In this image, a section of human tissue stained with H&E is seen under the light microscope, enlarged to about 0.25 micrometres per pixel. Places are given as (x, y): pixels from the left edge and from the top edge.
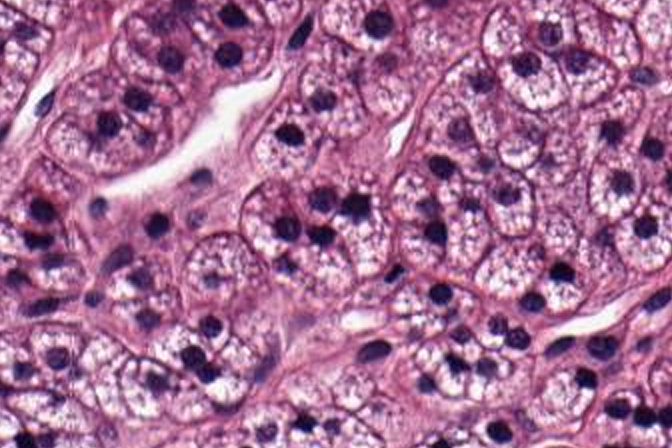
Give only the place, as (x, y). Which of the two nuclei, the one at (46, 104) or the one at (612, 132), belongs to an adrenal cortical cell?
(612, 132)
